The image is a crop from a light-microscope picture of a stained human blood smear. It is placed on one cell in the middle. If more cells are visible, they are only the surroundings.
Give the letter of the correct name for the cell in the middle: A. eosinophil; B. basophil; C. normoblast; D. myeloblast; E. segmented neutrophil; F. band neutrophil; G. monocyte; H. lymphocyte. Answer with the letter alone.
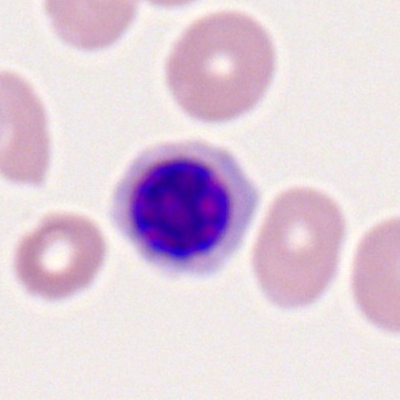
C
